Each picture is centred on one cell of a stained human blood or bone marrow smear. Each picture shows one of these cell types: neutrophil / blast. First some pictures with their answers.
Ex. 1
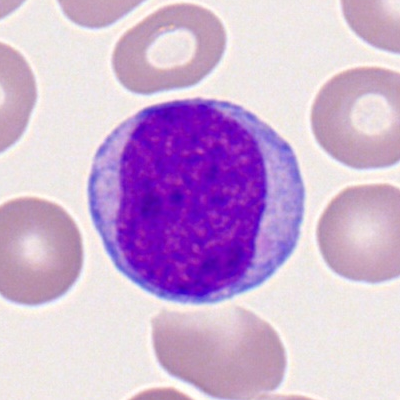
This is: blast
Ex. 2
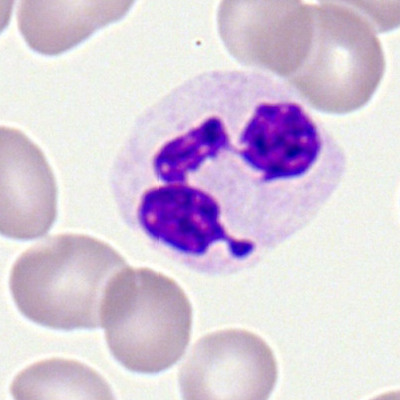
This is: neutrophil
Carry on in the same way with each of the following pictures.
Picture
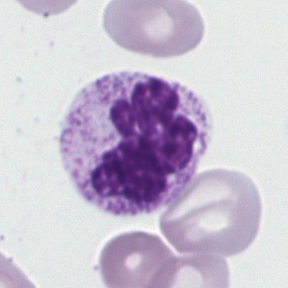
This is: neutrophil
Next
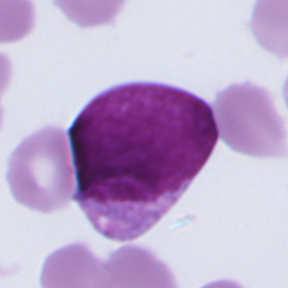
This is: blast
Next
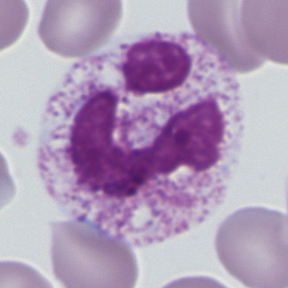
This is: neutrophil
